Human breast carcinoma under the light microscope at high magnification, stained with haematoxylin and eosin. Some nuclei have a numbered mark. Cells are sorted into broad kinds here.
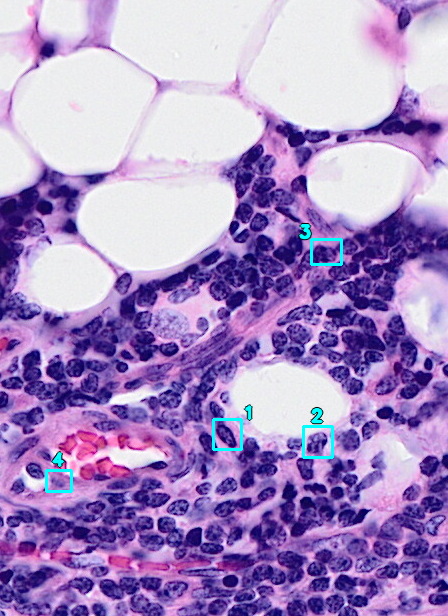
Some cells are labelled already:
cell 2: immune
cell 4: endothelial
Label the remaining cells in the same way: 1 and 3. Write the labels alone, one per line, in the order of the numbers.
immune
immune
